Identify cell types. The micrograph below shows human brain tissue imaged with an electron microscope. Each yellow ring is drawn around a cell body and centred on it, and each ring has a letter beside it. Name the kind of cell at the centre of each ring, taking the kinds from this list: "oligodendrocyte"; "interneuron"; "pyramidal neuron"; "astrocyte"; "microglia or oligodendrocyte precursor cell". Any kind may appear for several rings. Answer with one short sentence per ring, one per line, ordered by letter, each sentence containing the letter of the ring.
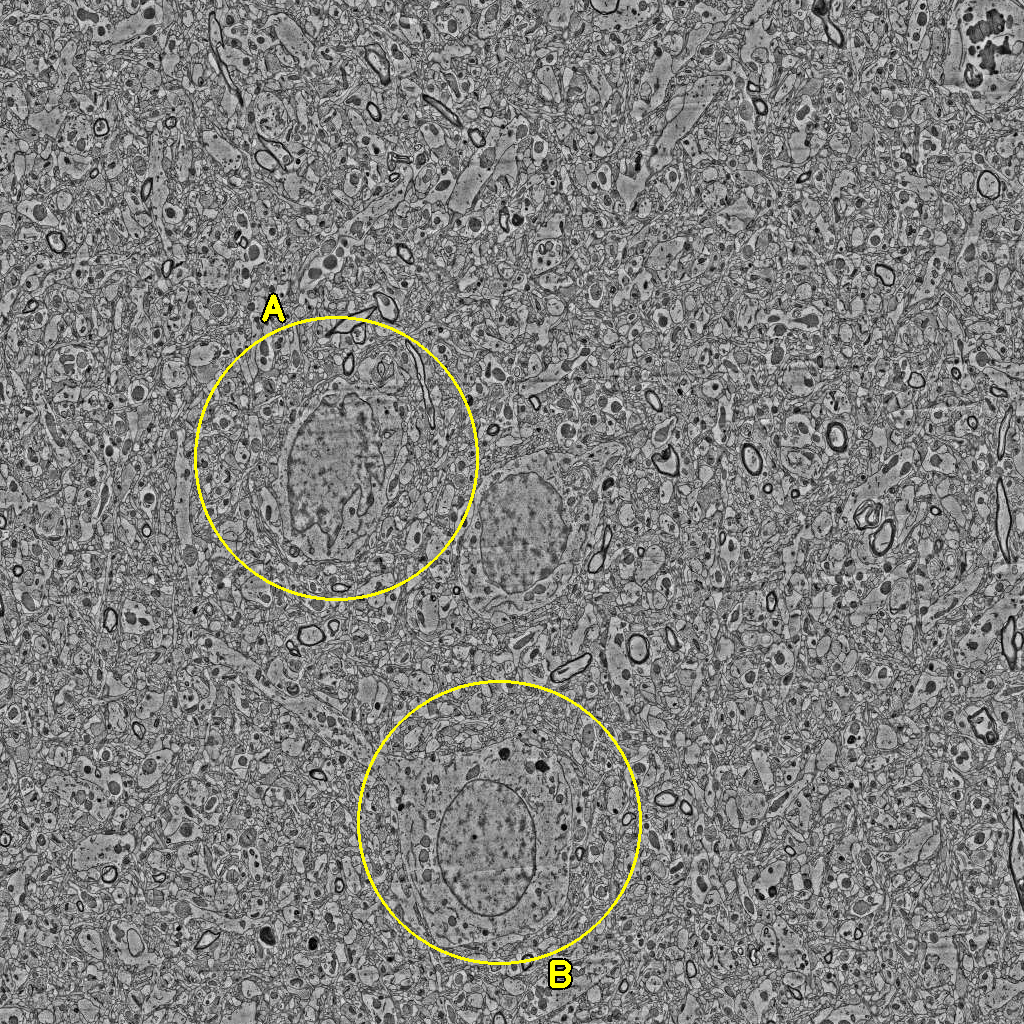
Ring A marks an interneuron.
Ring B marks a pyramidal neuron.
